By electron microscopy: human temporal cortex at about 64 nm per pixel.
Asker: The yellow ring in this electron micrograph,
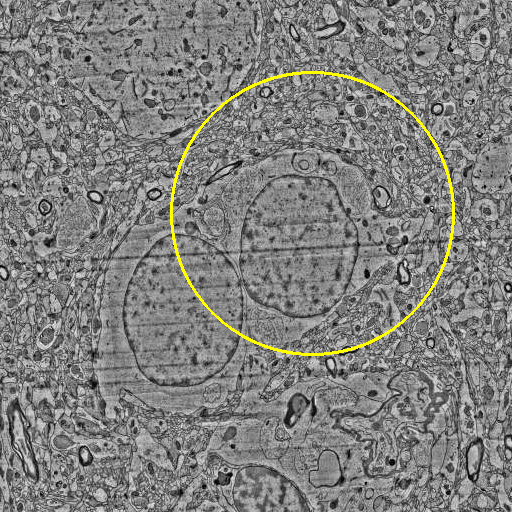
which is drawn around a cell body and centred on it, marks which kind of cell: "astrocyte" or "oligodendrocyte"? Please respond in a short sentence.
The marked cell is an astrocyte.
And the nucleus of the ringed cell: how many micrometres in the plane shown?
In this plane the nucleus is about 9 micrometres across.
